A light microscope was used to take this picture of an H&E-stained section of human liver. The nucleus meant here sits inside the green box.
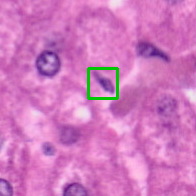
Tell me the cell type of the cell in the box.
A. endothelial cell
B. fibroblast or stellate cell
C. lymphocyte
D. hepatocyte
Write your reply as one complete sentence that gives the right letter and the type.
The proper choice here is A: the cell in the box is an endothelial cell.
